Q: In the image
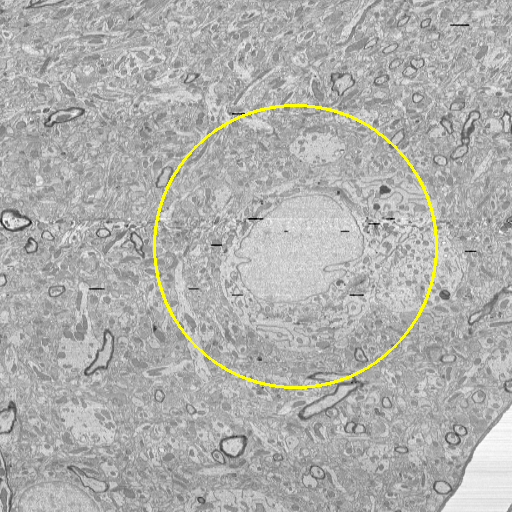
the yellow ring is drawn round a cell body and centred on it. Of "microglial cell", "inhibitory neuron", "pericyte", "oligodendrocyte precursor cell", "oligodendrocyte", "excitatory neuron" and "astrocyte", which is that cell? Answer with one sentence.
The cell centred in the ring is an inhibitory neuron.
